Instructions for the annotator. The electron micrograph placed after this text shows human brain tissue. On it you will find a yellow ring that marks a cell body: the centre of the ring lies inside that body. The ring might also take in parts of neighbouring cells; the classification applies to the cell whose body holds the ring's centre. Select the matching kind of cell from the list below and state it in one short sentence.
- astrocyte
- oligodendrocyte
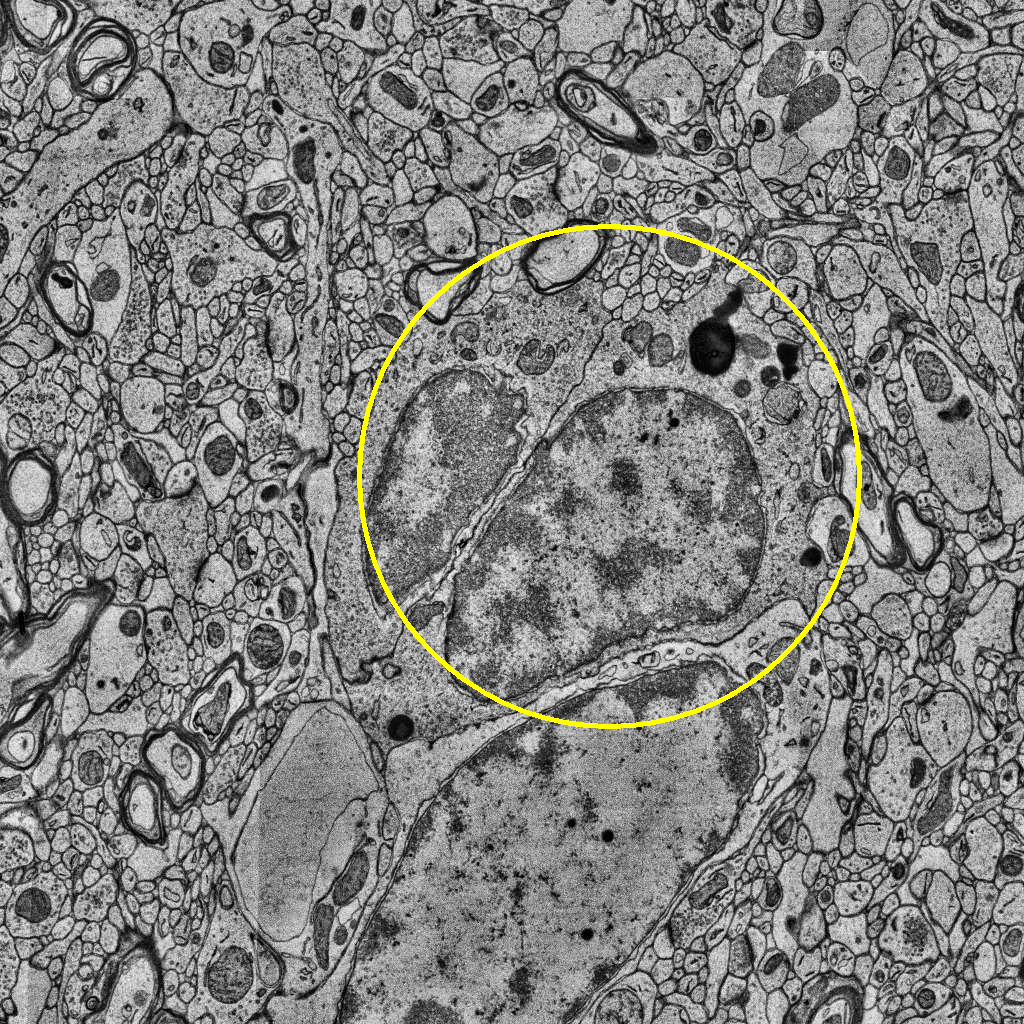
The centre of the ring lies in the cell body of an oligodendrocyte.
